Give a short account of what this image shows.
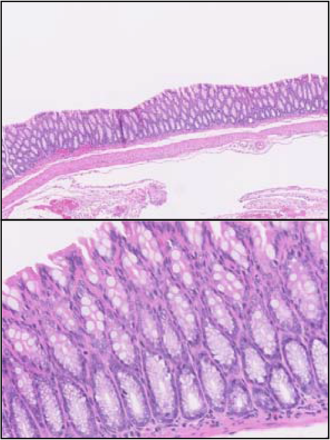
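Colon wall with an intact mucosa of straight, evenly spaced crypts running to a continuous surface epithelium. A thin submucosa and pink muscle layers lie beneath. At high power the crypts are lined by columnar cells full of pale goblet cell vacuoles, with basal nuclei. Only a modest number of cells lie in the lamina propria between the crypts.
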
